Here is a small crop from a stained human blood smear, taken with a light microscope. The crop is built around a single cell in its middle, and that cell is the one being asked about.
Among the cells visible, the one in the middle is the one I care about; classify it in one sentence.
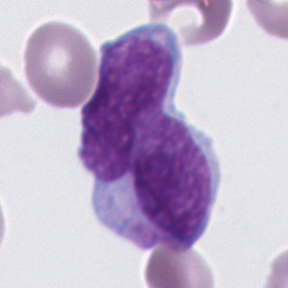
Present in the middle of the crop is an atypical promyelocyte.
